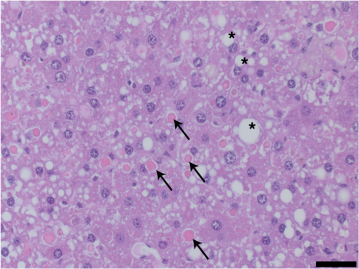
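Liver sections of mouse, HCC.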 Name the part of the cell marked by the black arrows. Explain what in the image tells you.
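Eosinophilic hyaline droplets. The arrows point to small round, glassy, intensely pink bodies. The bodies lie within the cytoplasm of the tumor cells.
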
